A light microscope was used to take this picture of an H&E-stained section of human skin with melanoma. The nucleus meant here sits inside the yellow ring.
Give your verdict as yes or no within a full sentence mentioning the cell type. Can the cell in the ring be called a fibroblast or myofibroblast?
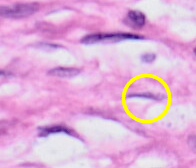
Yes, the cell in the ring is accurately described as a fibroblast or myofibroblast.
